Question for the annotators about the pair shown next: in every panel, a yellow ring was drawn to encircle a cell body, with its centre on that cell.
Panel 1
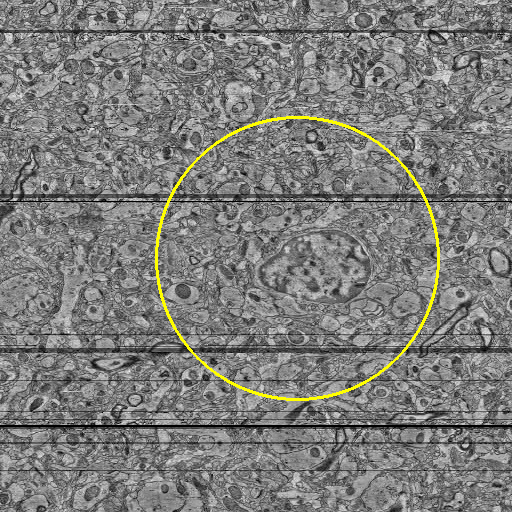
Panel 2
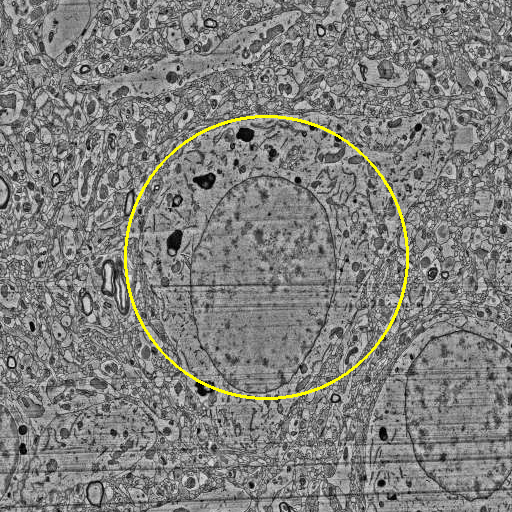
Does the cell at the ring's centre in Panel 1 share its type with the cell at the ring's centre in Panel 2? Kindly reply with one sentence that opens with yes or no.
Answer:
No, in Panels 1 and 2 the cells at the ring centres belong to separate types.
